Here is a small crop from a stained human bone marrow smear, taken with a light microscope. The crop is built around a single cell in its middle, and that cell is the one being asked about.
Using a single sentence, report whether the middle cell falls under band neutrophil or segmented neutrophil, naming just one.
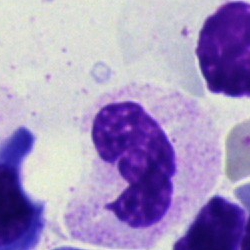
The cell centred in this crop is categorized as a band neutrophil.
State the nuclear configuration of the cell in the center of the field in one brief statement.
Have a look at the nucleus, which is one compact mass, round, oval or kidney-shaped.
